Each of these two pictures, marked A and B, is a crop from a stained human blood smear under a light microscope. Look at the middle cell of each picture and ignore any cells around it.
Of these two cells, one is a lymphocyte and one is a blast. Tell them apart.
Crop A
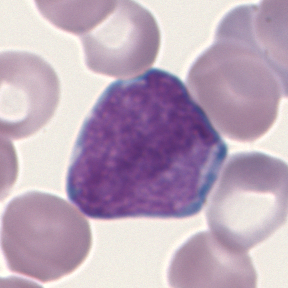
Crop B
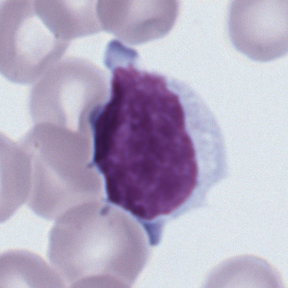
A: blast
B: lymphocyte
